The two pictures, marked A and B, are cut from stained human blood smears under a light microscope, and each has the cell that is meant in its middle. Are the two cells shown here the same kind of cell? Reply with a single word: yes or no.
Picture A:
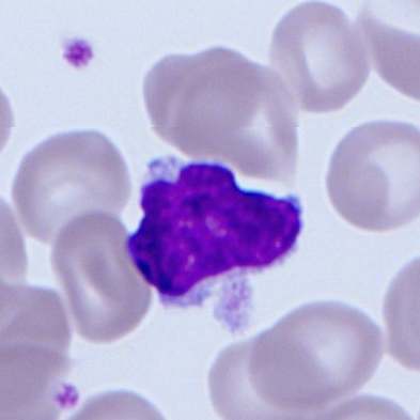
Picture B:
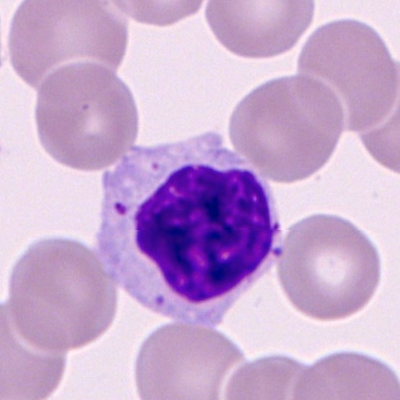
yes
